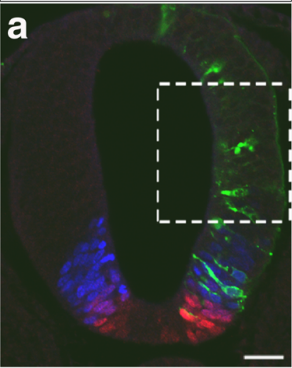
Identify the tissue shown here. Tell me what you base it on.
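Densely packed nuclei line both sides of the lumen in the ventral part. That points to this answer: neural tube.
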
